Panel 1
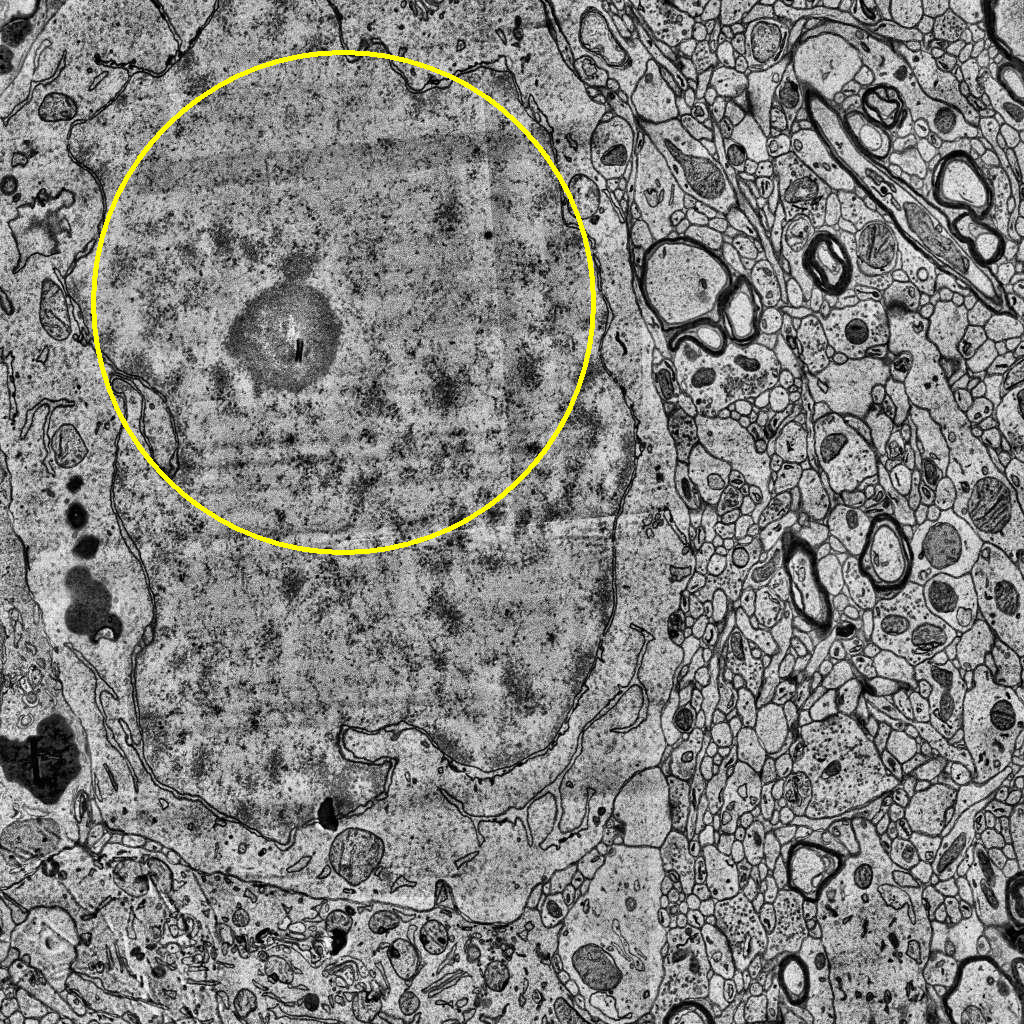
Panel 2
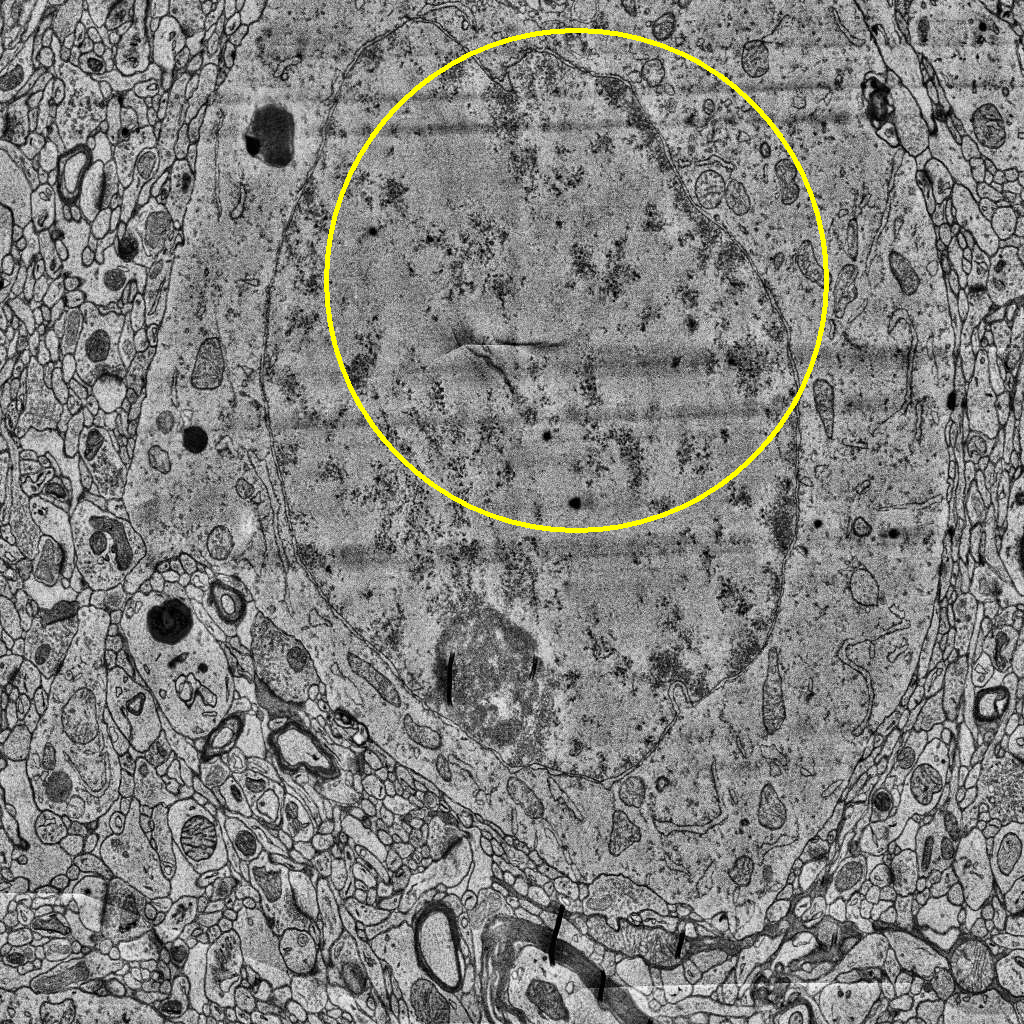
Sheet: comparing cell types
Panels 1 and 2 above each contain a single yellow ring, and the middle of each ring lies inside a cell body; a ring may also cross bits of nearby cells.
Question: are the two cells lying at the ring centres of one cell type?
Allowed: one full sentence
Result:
Yes, the cells at the ring centres in Panel 1 and Panel 2 are of one type.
